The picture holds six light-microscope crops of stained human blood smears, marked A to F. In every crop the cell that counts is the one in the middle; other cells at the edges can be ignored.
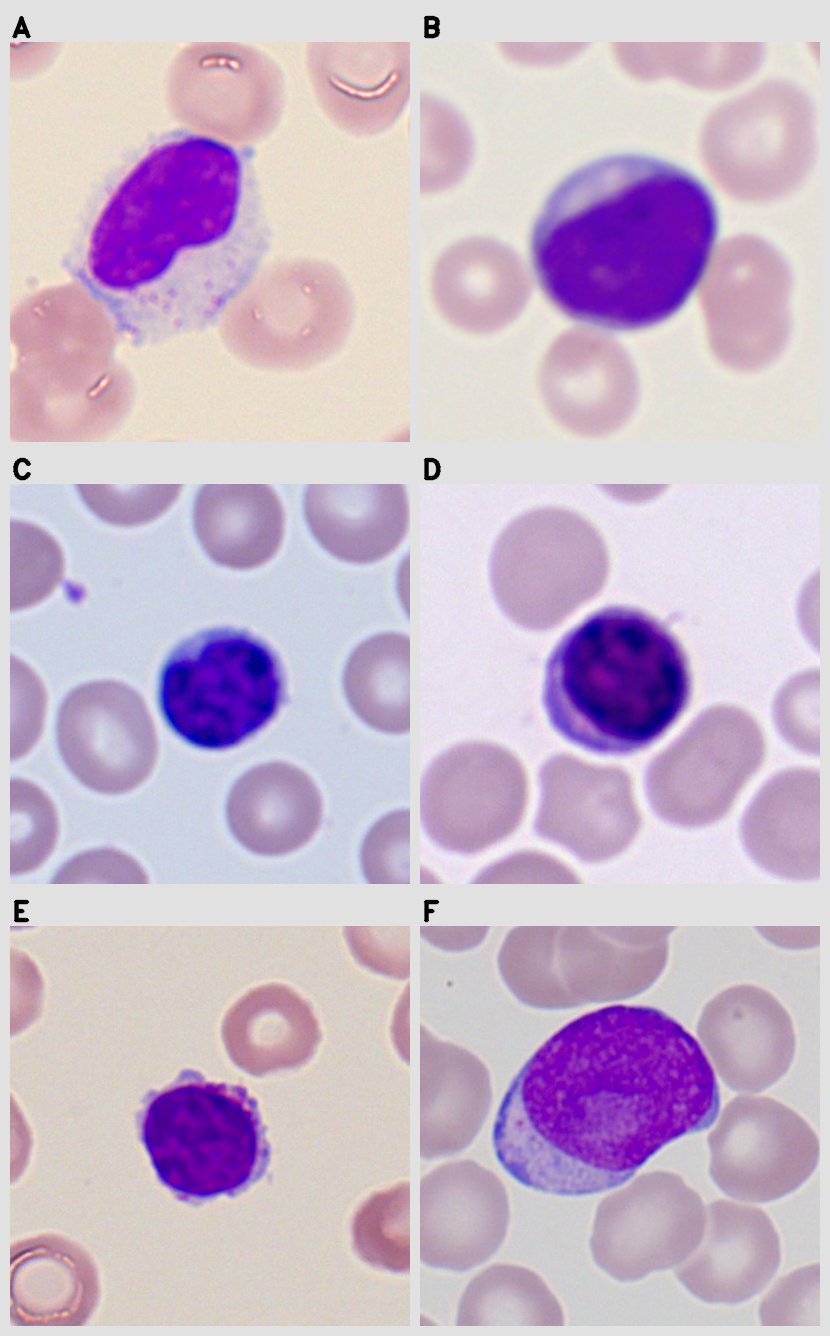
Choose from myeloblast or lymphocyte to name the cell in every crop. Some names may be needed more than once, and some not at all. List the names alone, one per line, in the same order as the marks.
lymphocyte
myeloblast
lymphocyte
lymphocyte
lymphocyte
myeloblast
